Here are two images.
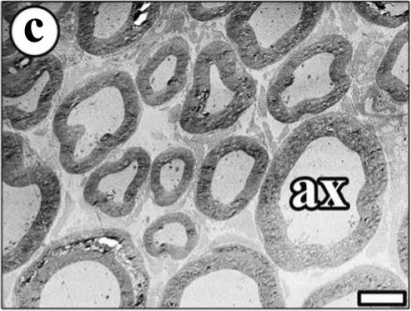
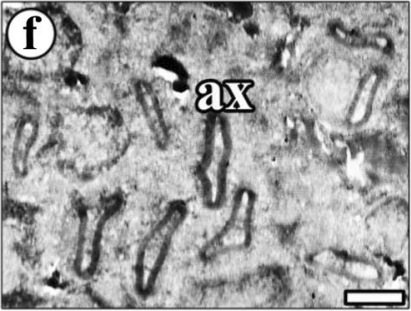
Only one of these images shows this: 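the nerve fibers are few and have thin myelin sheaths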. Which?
The second image.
